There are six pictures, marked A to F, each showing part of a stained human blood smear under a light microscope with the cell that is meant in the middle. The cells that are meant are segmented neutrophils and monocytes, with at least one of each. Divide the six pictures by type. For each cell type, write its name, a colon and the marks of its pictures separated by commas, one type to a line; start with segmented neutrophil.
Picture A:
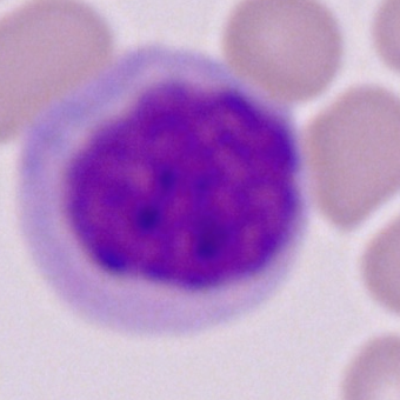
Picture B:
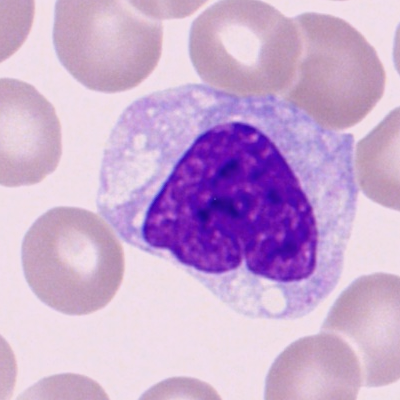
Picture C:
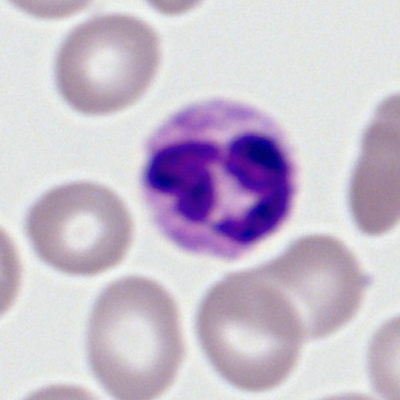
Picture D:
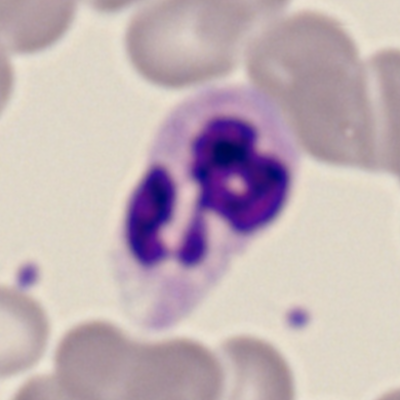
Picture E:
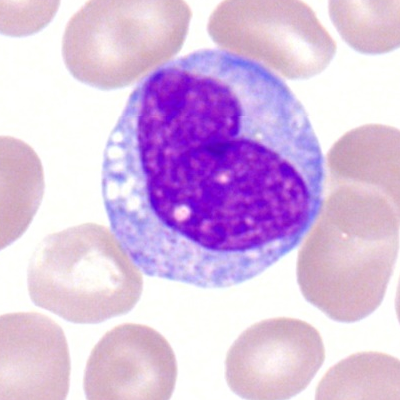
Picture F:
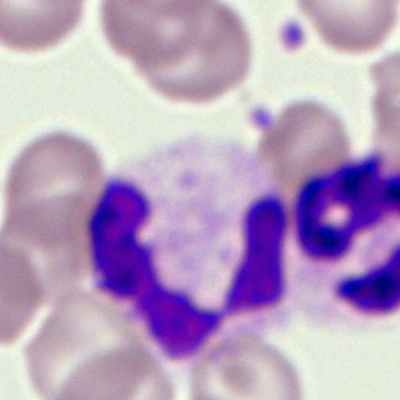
segmented neutrophil: C, D, F
monocyte: A, B, E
